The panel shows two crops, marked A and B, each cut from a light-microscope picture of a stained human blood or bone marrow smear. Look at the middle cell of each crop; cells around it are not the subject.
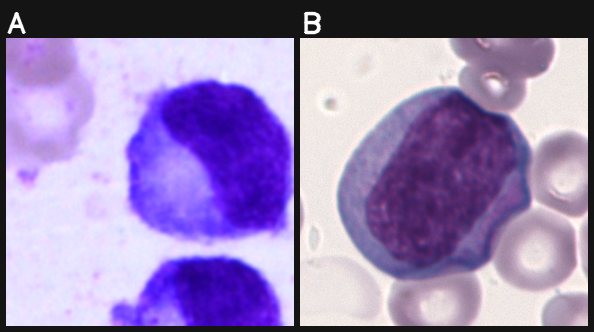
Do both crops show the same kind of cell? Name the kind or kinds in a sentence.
Yes, the cells at the centre of both crops are promyelocytes.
